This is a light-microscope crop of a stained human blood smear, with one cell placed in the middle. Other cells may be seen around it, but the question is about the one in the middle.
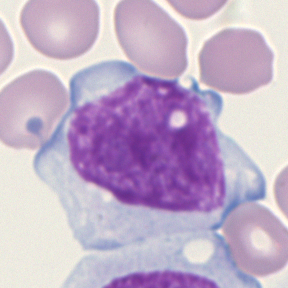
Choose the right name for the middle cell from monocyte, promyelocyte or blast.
blast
